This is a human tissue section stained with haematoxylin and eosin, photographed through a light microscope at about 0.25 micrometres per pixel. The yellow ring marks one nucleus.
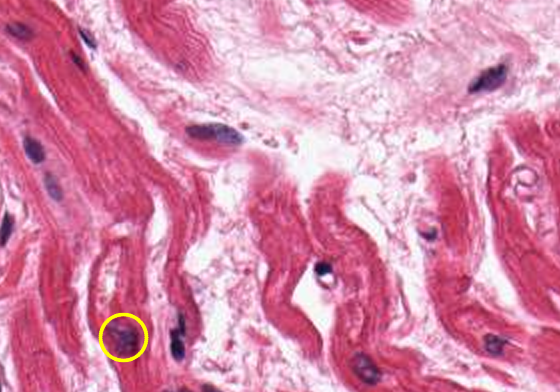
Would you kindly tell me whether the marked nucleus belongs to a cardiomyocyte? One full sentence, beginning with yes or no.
Yes, belonging to a cardiomyocyte is the marked nucleus.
